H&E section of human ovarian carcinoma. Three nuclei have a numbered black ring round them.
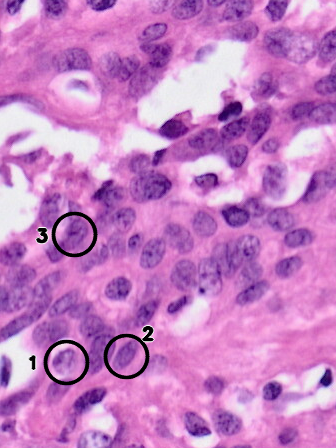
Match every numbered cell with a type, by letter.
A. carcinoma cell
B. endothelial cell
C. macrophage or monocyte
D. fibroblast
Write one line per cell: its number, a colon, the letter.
1: C
2: A
3: A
